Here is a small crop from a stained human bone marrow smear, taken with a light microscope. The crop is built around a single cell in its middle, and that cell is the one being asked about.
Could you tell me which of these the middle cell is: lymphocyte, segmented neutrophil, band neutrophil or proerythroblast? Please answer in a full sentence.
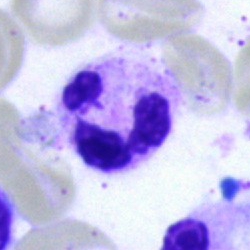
At the middle of the frame sits a segmented neutrophil.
